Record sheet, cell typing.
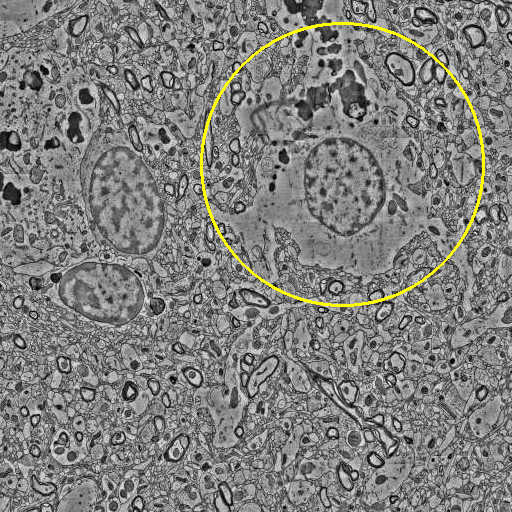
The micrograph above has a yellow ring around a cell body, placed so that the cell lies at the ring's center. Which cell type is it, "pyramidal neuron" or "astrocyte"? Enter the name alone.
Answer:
astrocyte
